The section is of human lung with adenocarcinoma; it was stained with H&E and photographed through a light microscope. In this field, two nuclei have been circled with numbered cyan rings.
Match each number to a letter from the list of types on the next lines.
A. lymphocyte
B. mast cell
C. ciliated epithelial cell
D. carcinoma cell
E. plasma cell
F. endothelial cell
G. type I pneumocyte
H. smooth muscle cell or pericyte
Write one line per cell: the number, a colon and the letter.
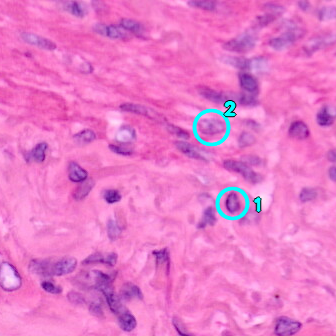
1: B
2: H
